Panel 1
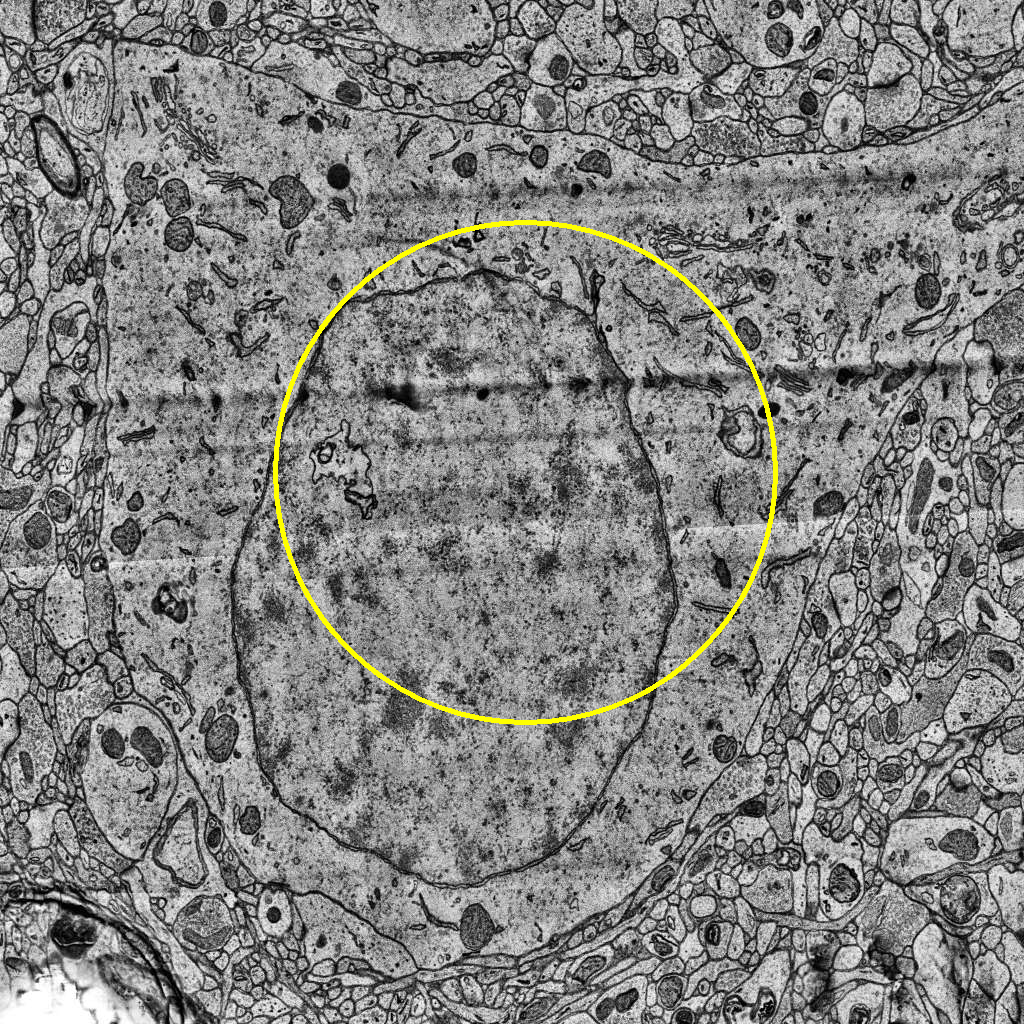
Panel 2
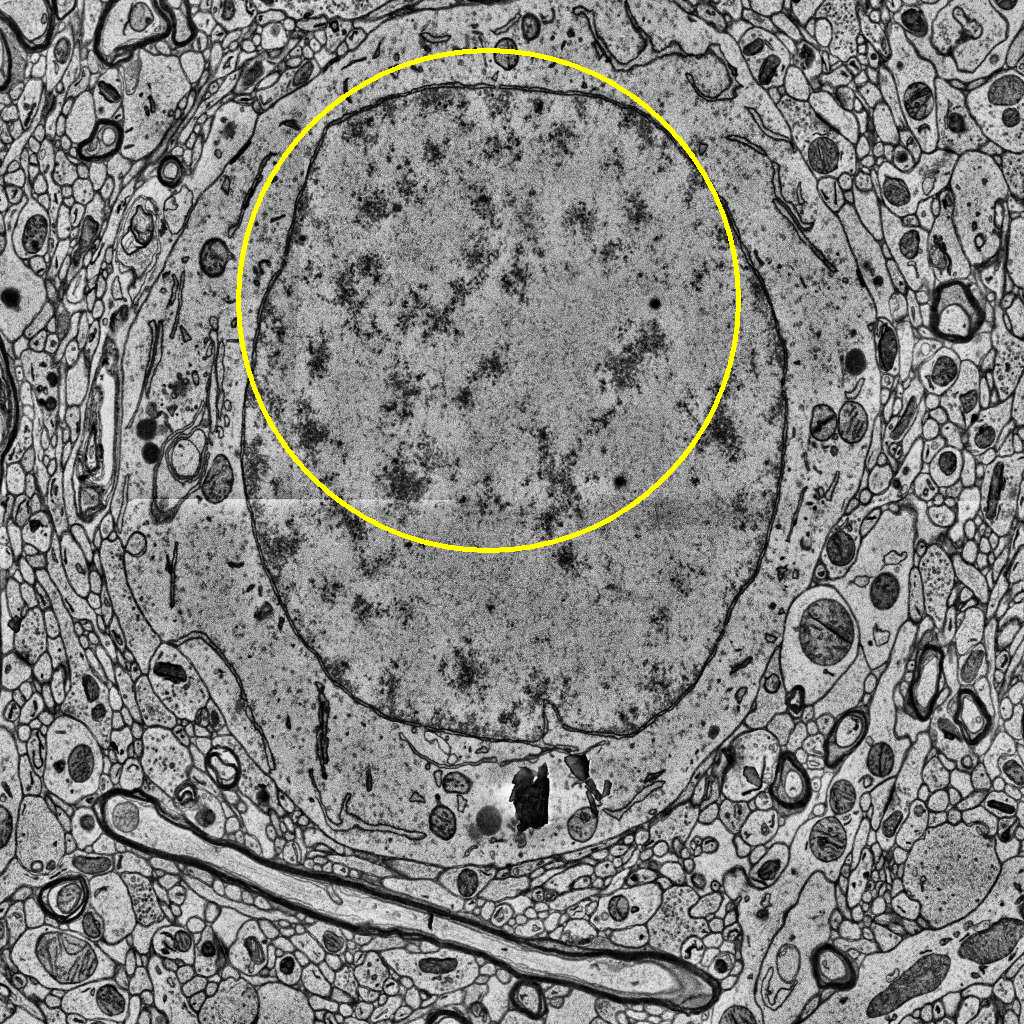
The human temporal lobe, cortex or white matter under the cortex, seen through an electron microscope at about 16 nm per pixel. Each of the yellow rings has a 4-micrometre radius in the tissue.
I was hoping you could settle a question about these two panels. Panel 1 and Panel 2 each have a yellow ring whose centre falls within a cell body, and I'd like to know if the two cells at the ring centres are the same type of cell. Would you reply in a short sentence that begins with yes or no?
Yes, both are the same type of cell.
